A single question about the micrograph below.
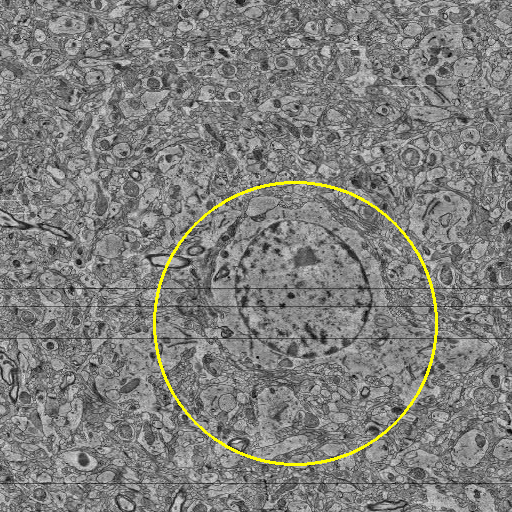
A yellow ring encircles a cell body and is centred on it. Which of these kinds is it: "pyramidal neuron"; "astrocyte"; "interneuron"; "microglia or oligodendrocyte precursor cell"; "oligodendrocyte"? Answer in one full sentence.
The cell body at the centre of the yellow ring belongs to an astrocyte.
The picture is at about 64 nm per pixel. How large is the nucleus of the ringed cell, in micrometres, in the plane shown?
In this plane, the nucleus of the cell at the centre of the ring is about 9 micrometres across.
